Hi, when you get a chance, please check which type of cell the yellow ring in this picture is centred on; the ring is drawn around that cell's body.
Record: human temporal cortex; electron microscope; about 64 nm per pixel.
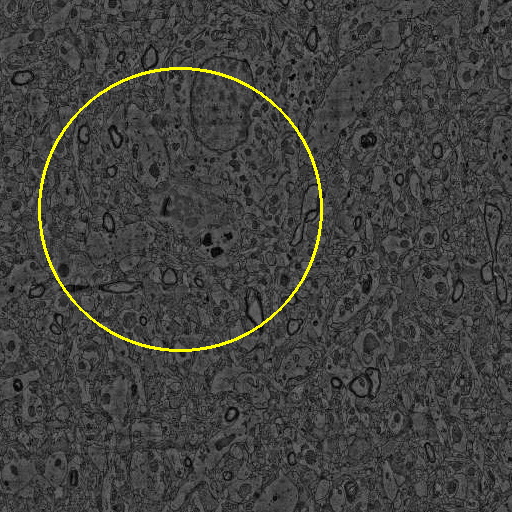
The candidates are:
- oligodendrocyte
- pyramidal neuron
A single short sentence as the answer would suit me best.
The ring is drawn around the body of an oligodendrocyte.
